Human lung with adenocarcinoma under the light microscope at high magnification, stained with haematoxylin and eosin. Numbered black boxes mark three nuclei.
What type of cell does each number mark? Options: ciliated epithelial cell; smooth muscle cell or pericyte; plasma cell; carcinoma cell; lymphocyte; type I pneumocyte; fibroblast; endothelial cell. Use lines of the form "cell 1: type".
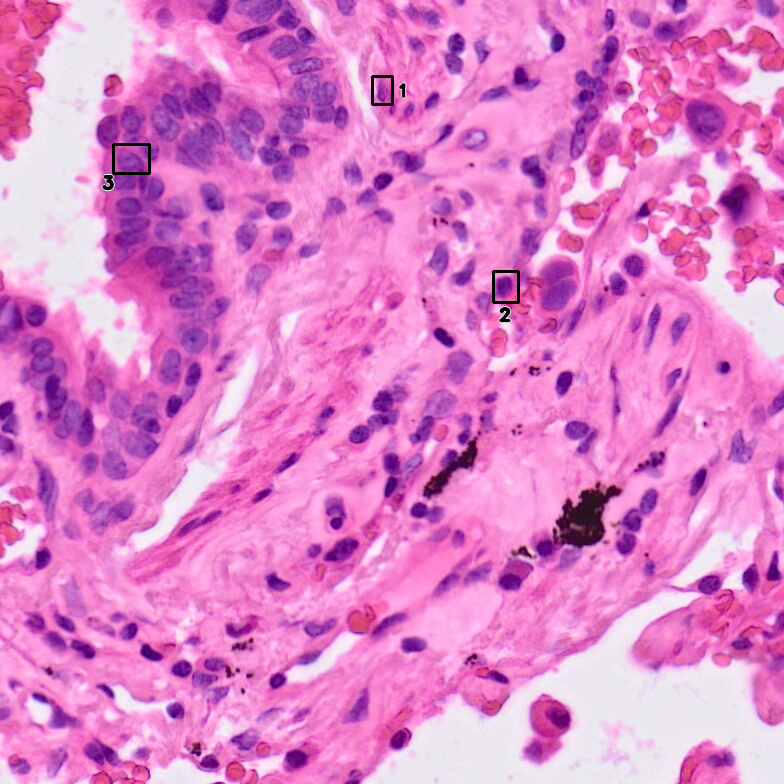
cell 1: smooth muscle cell or pericyte
cell 2: lymphocyte
cell 3: ciliated epithelial cell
